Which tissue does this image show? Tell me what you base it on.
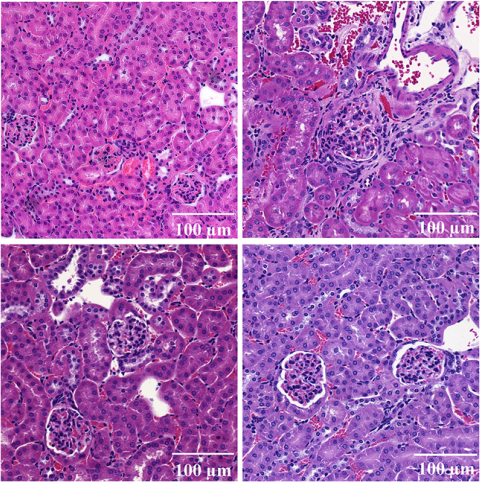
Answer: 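Round glomeruli made of tufts of capillaries with nuclei, each in a capsule with a clear space around it. Many tubules cut in cross section, lined by cells with pink cytoplasm and round nuclei. That points to this answer: kidneys.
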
